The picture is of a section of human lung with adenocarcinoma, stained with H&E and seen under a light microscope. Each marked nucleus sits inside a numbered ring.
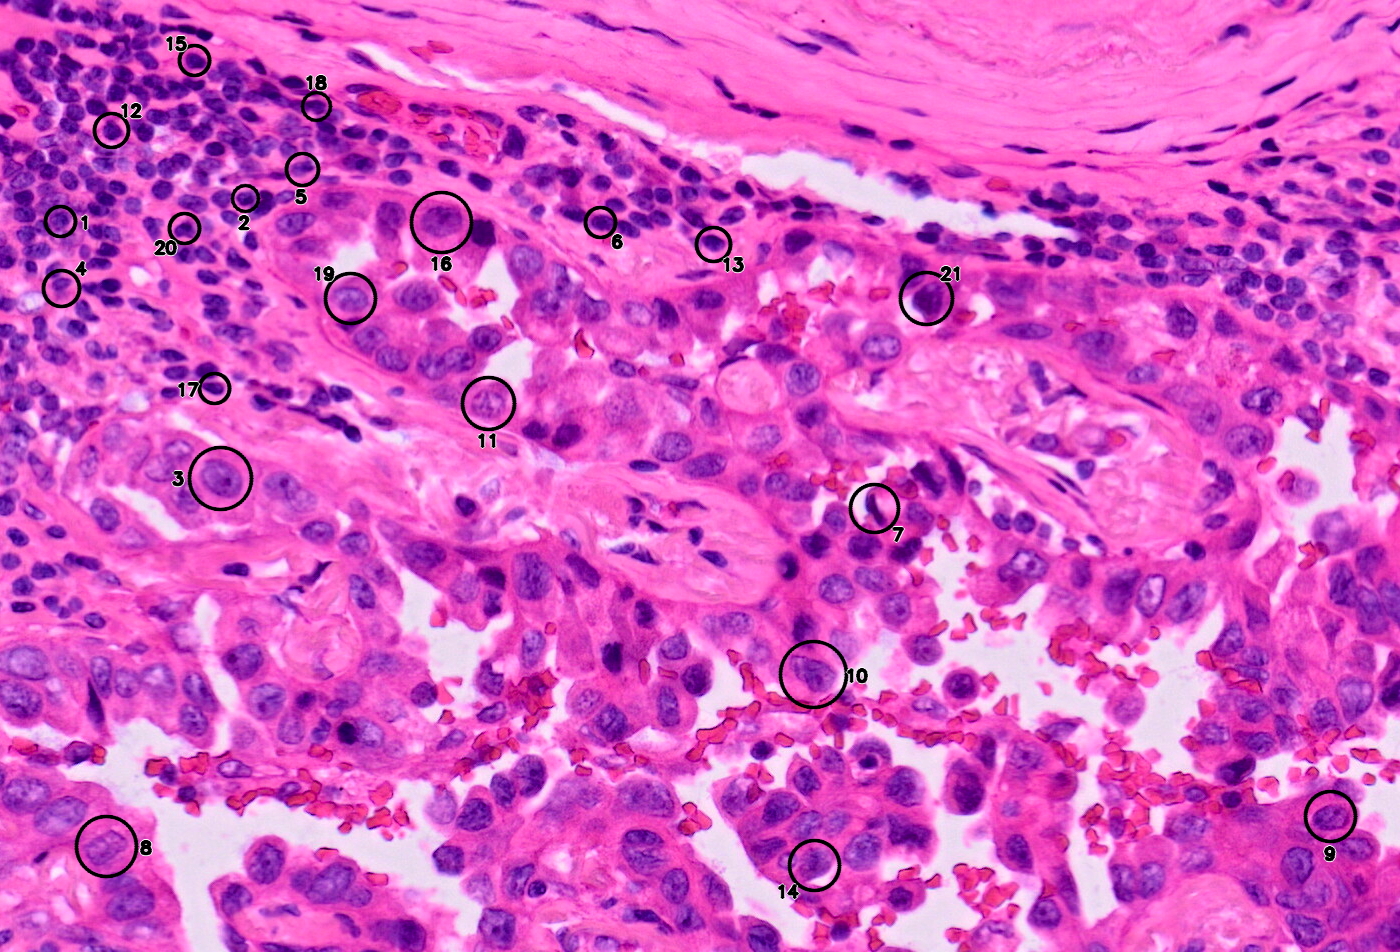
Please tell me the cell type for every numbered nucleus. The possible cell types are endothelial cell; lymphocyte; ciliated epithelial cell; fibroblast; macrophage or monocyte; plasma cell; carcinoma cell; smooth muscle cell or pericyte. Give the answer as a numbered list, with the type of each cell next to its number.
1. lymphocyte
2. lymphocyte
3. carcinoma cell
4. lymphocyte
5. lymphocyte
6. lymphocyte
7. carcinoma cell
8. carcinoma cell
9. carcinoma cell
10. carcinoma cell
11. carcinoma cell
12. lymphocyte
13. lymphocyte
14. carcinoma cell
15. lymphocyte
16. carcinoma cell
17. lymphocyte
18. lymphocyte
19. carcinoma cell
20. lymphocyte
21. carcinoma cell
